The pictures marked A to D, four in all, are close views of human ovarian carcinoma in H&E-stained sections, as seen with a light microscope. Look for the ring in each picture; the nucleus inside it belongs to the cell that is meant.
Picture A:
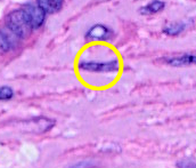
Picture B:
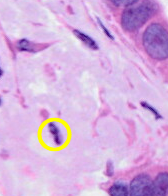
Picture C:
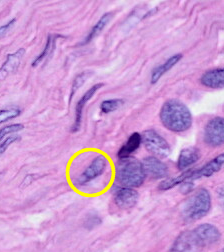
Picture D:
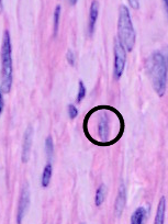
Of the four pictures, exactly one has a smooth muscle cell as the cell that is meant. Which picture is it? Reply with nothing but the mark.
D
